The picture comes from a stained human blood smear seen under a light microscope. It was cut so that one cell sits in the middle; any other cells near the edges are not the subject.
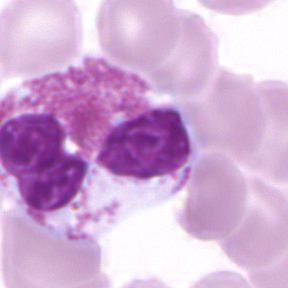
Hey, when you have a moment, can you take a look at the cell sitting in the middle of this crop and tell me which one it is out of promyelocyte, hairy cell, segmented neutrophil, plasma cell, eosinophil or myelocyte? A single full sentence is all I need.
In the centre of this crop there is an eosinophil.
